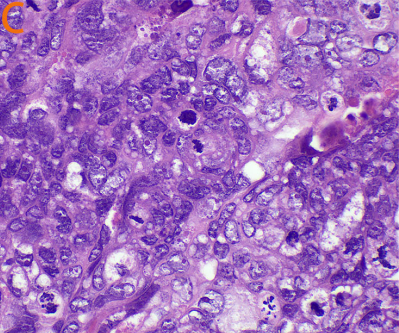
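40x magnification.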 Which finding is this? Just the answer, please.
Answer: irregular nuclear membranes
